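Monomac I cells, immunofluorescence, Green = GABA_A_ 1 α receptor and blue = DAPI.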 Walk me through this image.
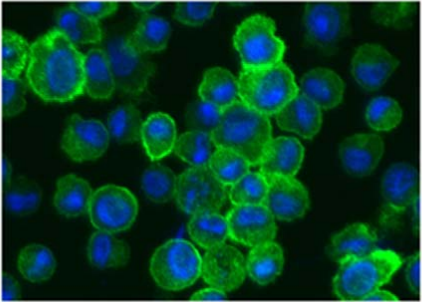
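Rounded monocytic cells lie singly and in small clusters, each with one large round to oval nucleus stained blue that takes up much of the cell. Around the nucleus lies a rim of cytoplasm, and green fluorescence is strongest along the outer border of each cell, outlining it as a bright ring. Some cell borders are irregular and ruffled rather than smooth. The cells vary somewhat in size, and a few show only faint green.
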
